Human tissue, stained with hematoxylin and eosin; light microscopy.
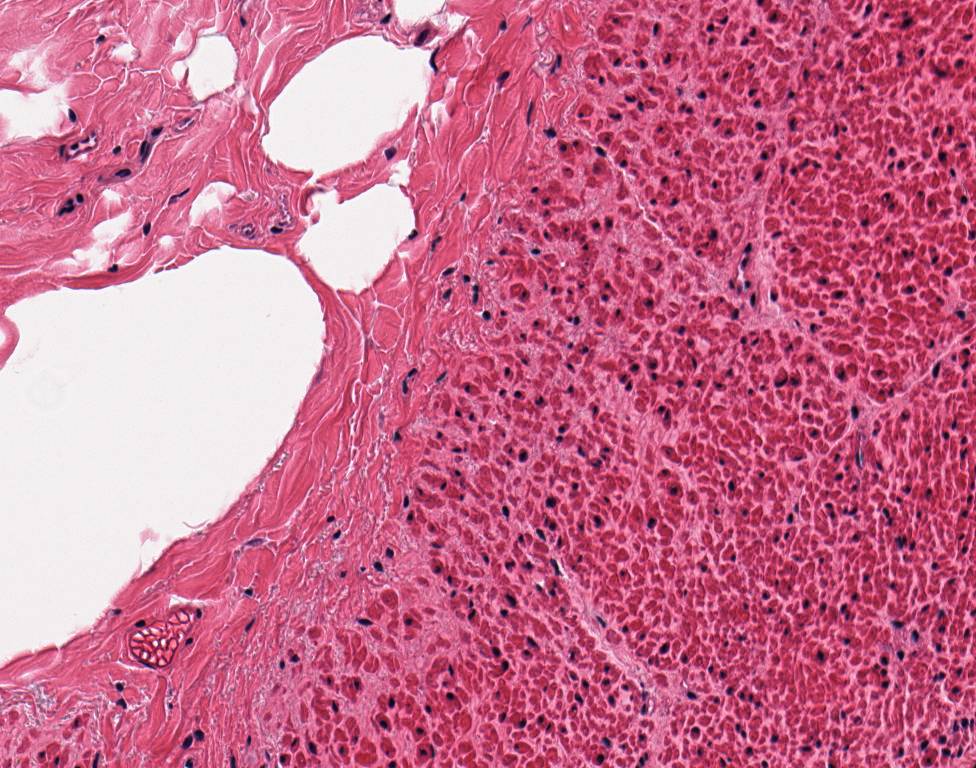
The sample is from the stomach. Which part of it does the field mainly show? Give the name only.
smooth muscle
